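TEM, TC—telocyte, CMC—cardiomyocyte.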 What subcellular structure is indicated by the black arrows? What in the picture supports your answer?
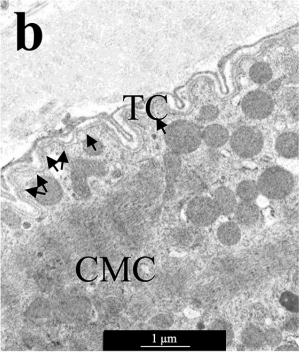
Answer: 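Small rounded membrane pits along the surface of the muscle cell. The muscle cell is packed with round dense mitochondria.
Conclusion: caveolae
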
